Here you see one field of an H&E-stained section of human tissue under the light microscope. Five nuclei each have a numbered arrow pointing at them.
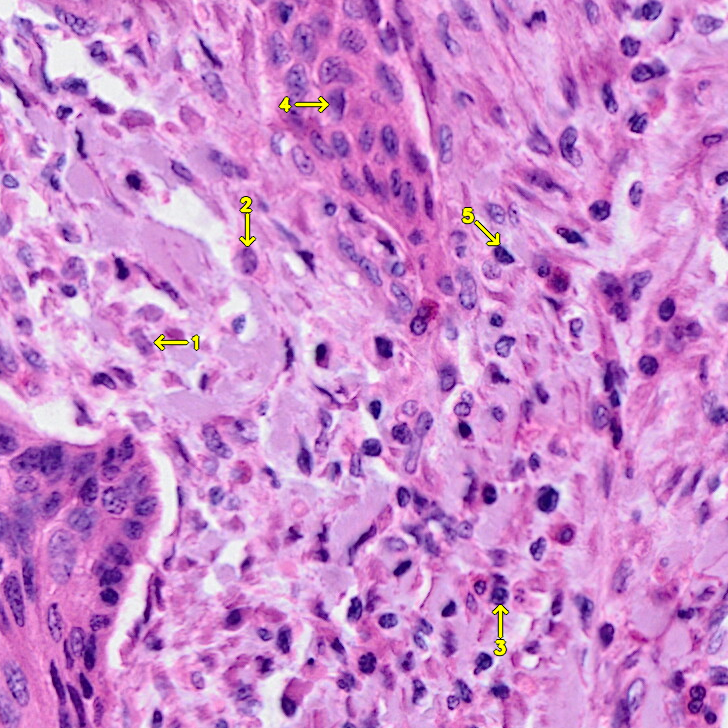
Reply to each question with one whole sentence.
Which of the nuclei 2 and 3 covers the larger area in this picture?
Number 2 is larger; its area is about 2 times that of number 3.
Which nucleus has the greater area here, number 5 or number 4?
Nucleus 4 is larger, with an area about 1.5 times that of nucleus 5.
